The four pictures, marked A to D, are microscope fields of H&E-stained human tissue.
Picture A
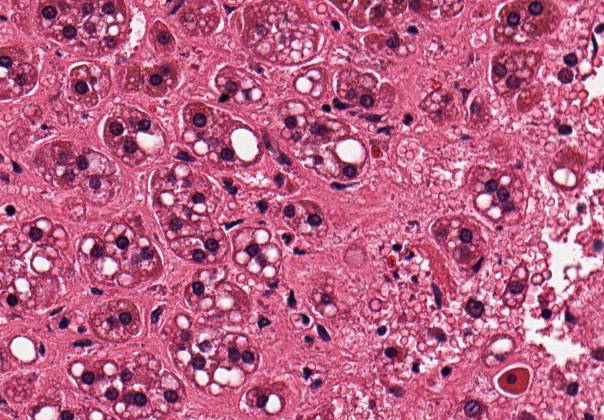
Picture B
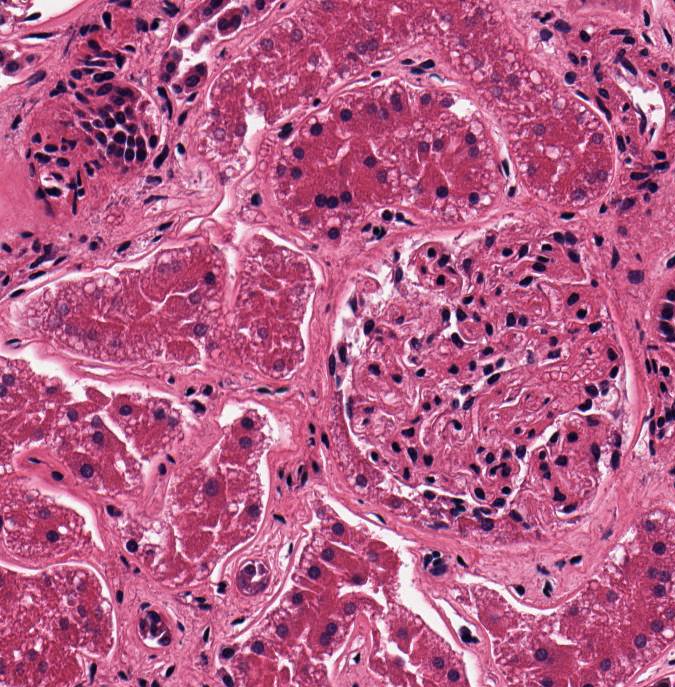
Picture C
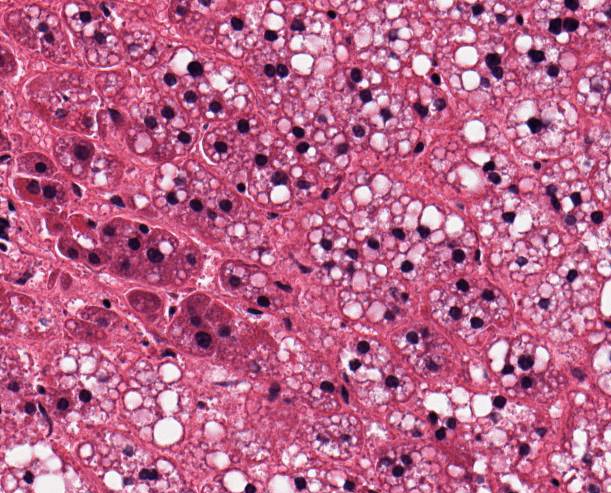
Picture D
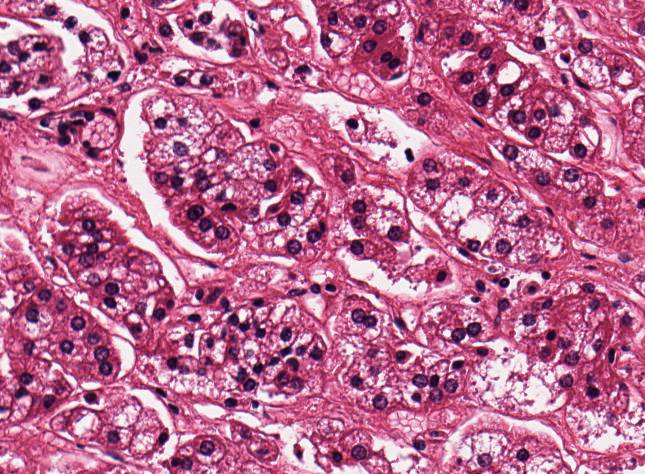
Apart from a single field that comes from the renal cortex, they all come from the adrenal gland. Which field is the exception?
B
